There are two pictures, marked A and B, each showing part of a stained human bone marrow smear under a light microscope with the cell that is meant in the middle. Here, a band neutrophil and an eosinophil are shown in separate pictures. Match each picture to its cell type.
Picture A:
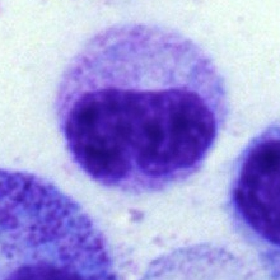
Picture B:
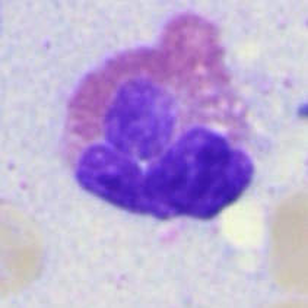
A: band neutrophil
B: eosinophil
